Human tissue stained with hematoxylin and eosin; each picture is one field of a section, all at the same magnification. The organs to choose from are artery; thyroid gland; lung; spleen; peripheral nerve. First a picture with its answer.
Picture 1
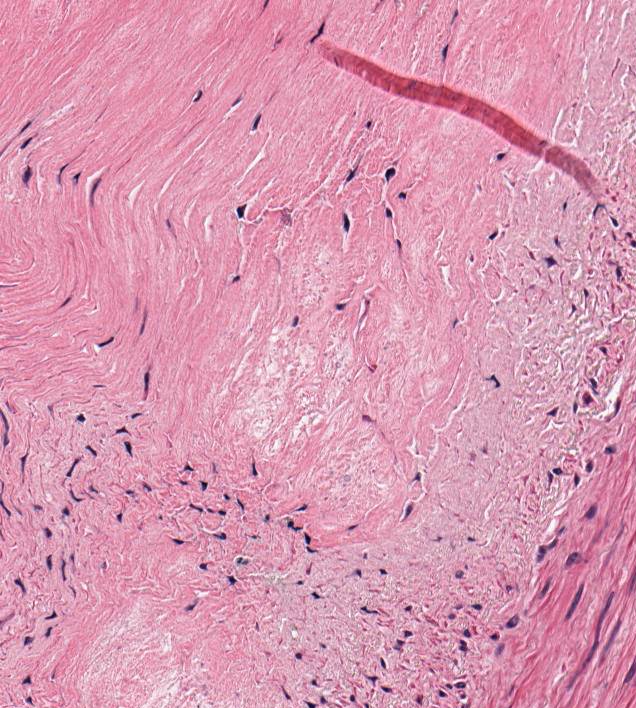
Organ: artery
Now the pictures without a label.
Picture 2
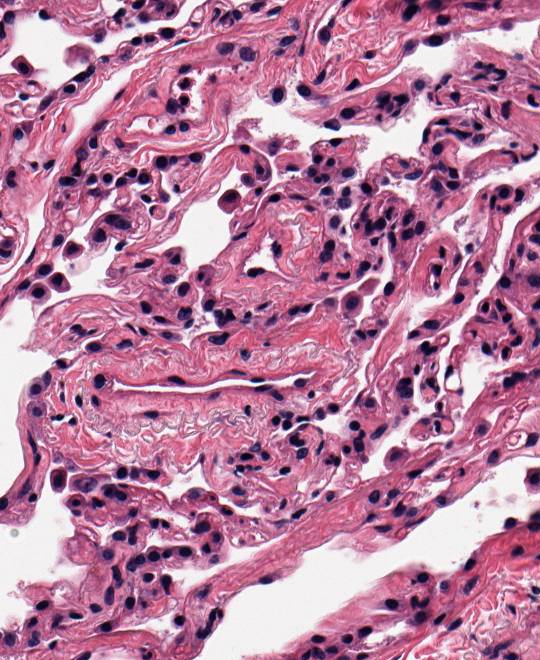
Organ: lung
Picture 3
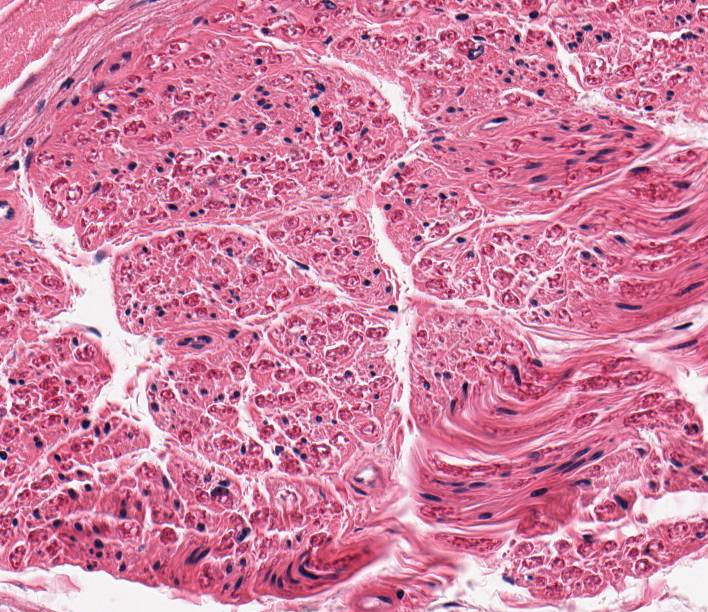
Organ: peripheral nerve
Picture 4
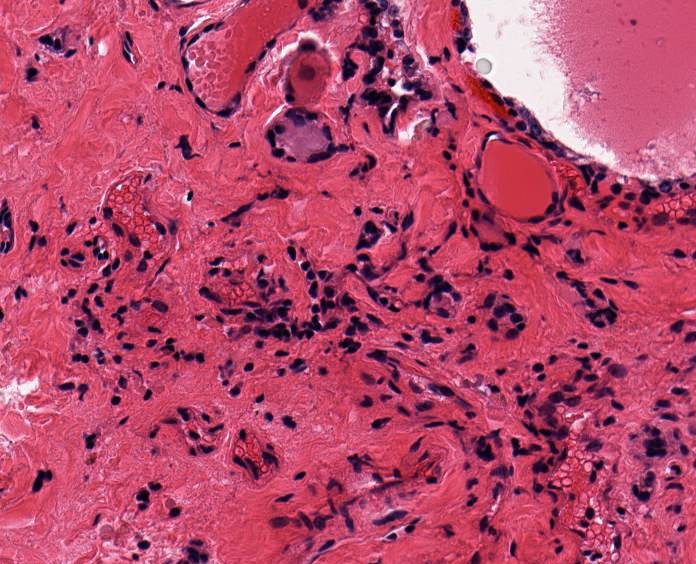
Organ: thyroid gland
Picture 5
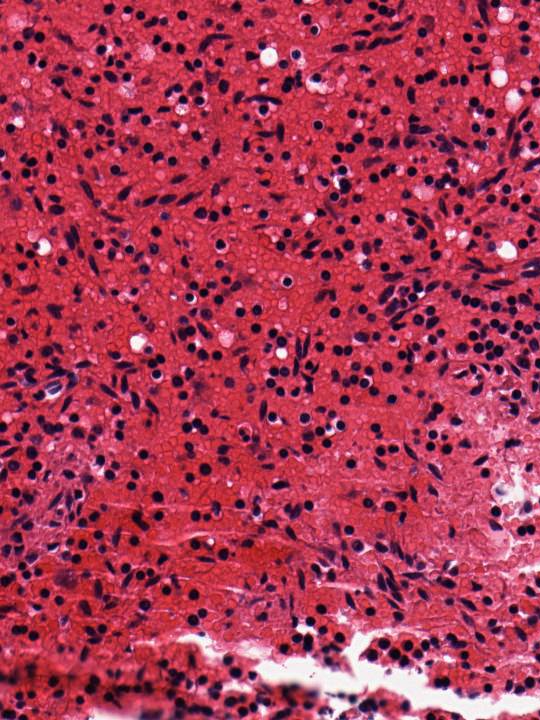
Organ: spleen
